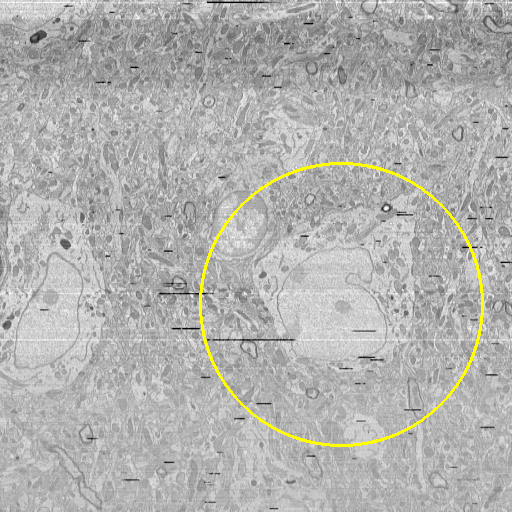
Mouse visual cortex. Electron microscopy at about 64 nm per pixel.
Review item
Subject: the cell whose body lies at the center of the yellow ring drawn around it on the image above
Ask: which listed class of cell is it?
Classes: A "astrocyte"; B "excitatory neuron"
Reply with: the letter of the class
B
